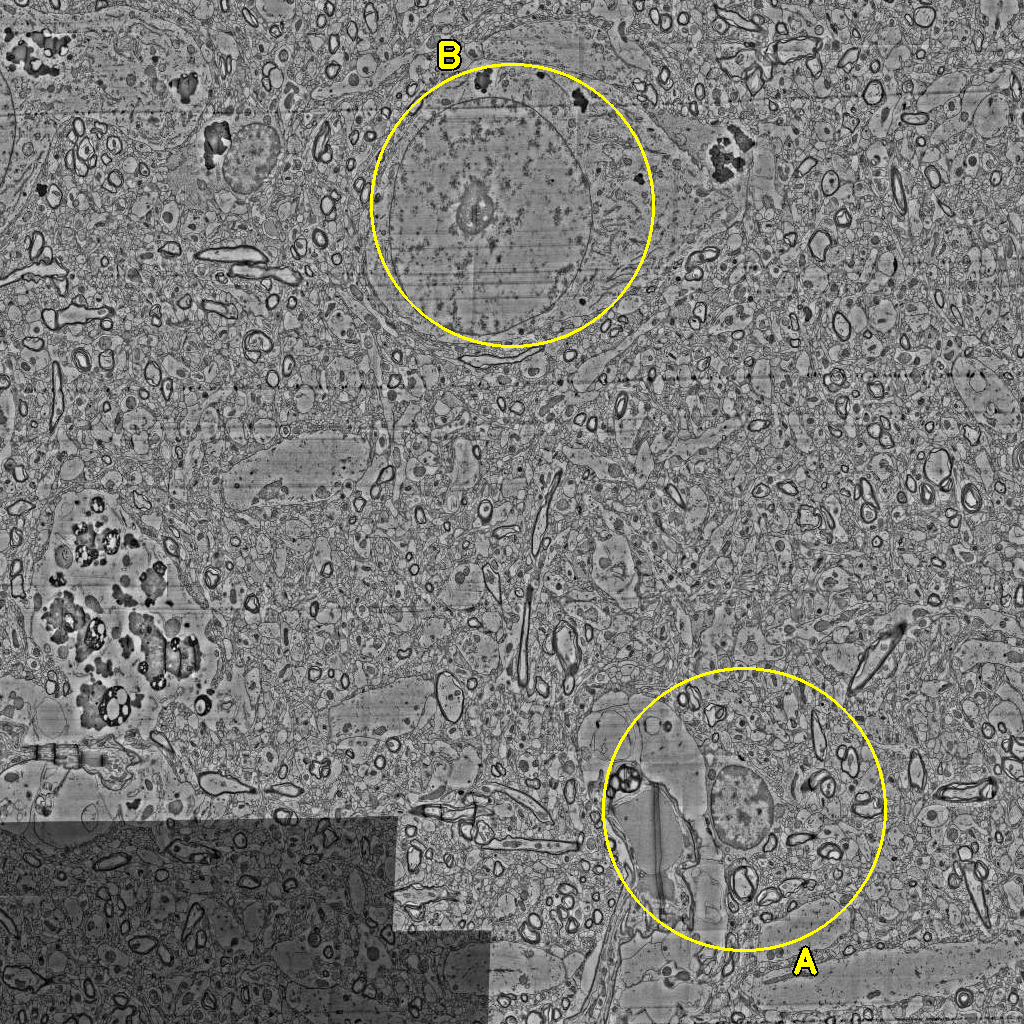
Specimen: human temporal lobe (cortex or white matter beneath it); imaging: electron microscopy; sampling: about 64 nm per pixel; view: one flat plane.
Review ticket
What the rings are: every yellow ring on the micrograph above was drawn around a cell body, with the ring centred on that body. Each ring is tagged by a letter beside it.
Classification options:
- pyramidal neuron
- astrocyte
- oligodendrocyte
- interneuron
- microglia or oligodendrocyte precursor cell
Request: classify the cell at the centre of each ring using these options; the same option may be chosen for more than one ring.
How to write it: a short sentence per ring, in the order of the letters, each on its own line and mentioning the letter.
The cell centred in ring A is an oligodendrocyte.
The cell centred in ring B is a pyramidal neuron.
